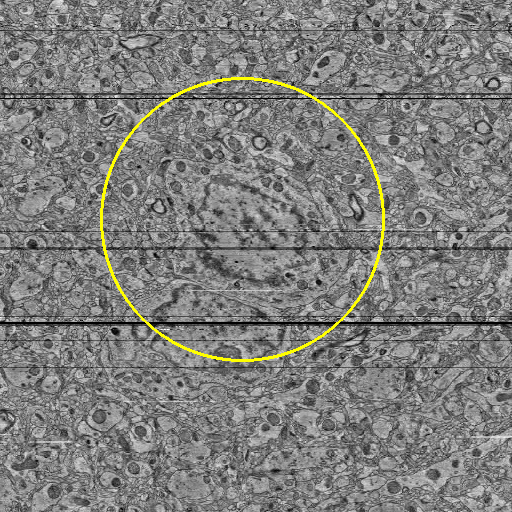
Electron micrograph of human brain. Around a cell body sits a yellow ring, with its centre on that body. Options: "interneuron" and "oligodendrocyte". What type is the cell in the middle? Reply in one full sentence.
The cell sitting at the centre of the yellow ring is an interneuron.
